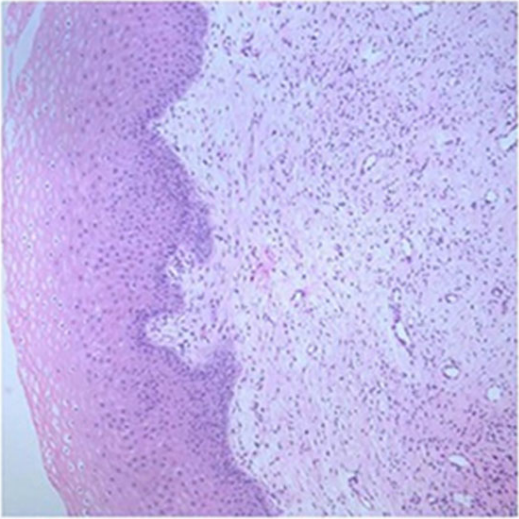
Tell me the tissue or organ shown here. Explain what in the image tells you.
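A thick multilayered epithelium runs along the left edge. Cells flatten and become paler toward the surface. A basal layer of darker, crowded cells borders the underlying stroma.
Conclusion: squamos epithelium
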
